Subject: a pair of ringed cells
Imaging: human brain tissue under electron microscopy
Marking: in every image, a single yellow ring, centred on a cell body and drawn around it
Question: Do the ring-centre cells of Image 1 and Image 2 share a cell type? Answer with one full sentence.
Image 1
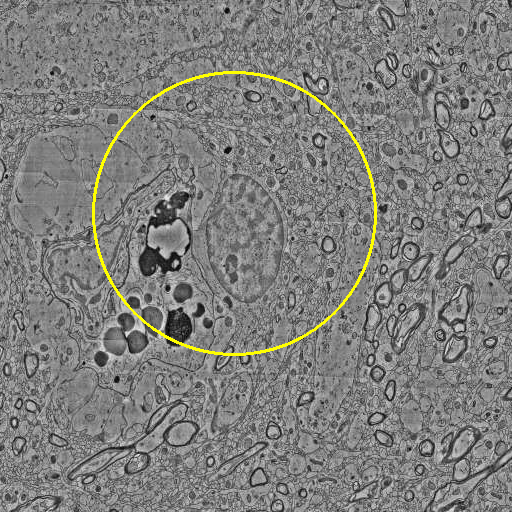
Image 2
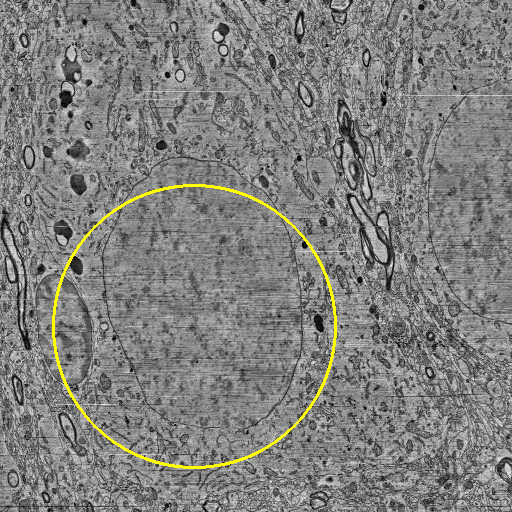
No, at the ring centres in the images sit cells of two separate types.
